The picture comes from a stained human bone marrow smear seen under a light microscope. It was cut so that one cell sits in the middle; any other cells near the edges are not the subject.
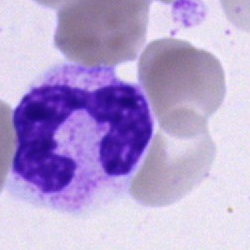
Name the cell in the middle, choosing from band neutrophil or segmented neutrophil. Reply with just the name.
segmented neutrophil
